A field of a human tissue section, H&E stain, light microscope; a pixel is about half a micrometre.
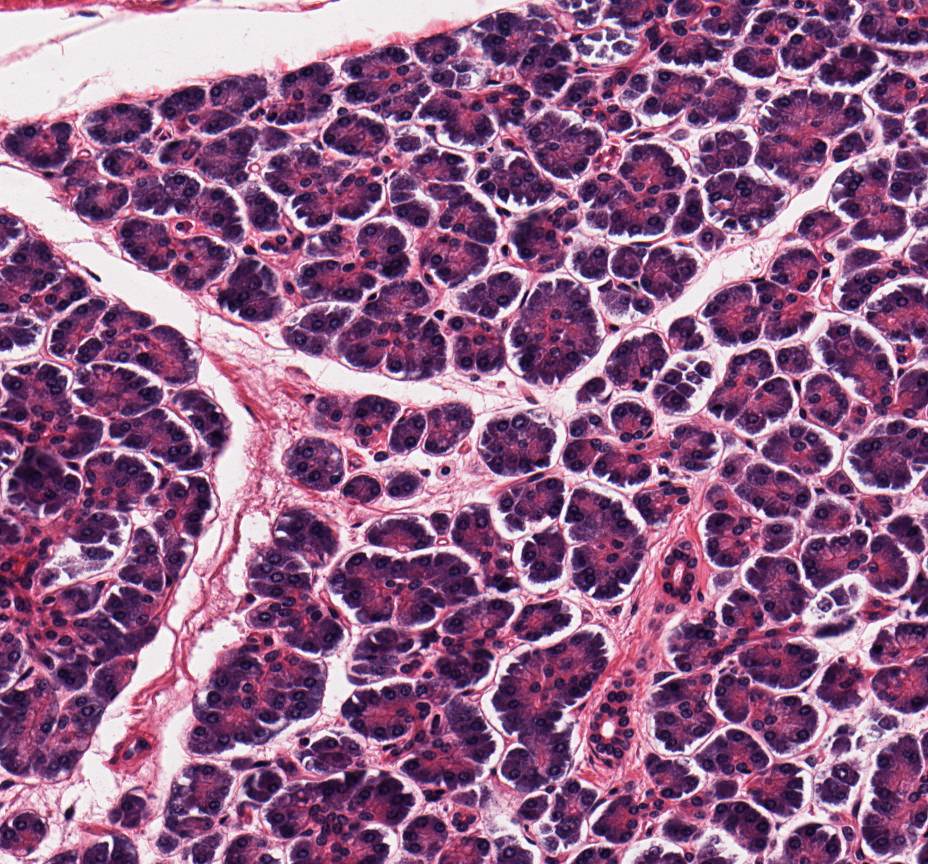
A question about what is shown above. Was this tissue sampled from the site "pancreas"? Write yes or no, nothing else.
yes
